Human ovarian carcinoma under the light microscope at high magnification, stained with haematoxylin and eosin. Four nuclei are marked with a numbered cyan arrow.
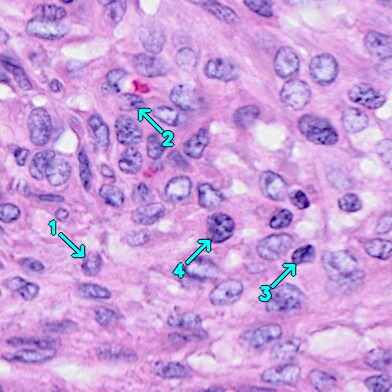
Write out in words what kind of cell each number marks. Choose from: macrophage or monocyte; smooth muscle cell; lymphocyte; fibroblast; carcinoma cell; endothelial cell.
Cell 1 is a fibroblast, cell 2 is an endothelial cell, cell 3 is a lymphocyte and cell 4 is a macrophage or monocyte.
